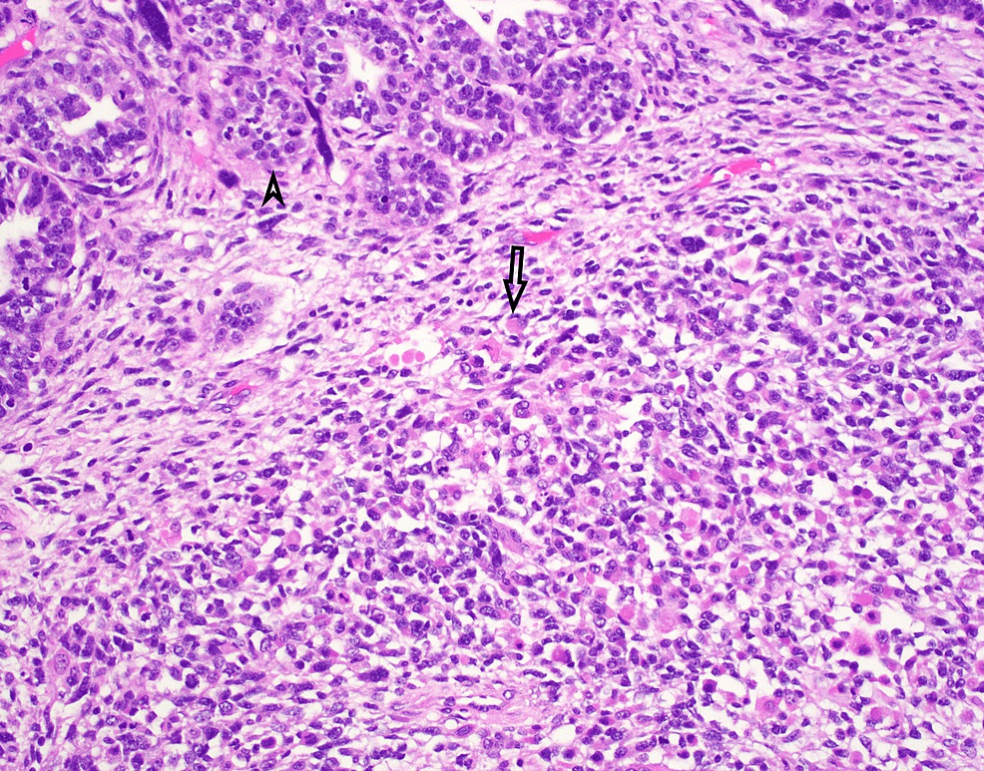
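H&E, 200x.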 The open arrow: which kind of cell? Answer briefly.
Rhabodomyoblastic heterologous sarcomatous component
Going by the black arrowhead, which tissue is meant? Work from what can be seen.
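Carcinomatous component. The arrowhead lies beside rounded nests and glands of crowded epithelial cells in the upper left. Some nests have central lumens. The nests are sharply set off from the surrounding spindle-cell stroma.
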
